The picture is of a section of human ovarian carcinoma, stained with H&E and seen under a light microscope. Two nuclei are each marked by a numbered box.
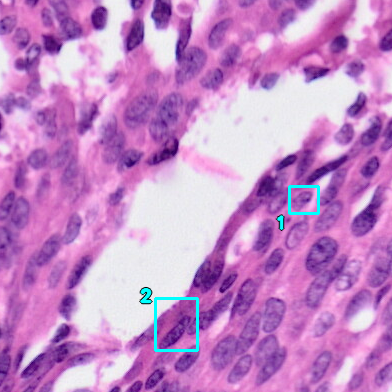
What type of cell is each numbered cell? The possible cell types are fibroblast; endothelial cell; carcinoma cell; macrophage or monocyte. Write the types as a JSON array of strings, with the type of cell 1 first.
["macrophage or monocyte", "carcinoma cell"]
